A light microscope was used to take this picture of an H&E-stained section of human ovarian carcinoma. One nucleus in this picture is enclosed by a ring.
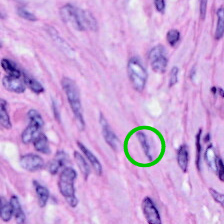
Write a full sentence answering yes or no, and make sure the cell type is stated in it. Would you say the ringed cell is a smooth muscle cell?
No, the ringed cell is described as a fibroblast and not as a smooth muscle cell.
